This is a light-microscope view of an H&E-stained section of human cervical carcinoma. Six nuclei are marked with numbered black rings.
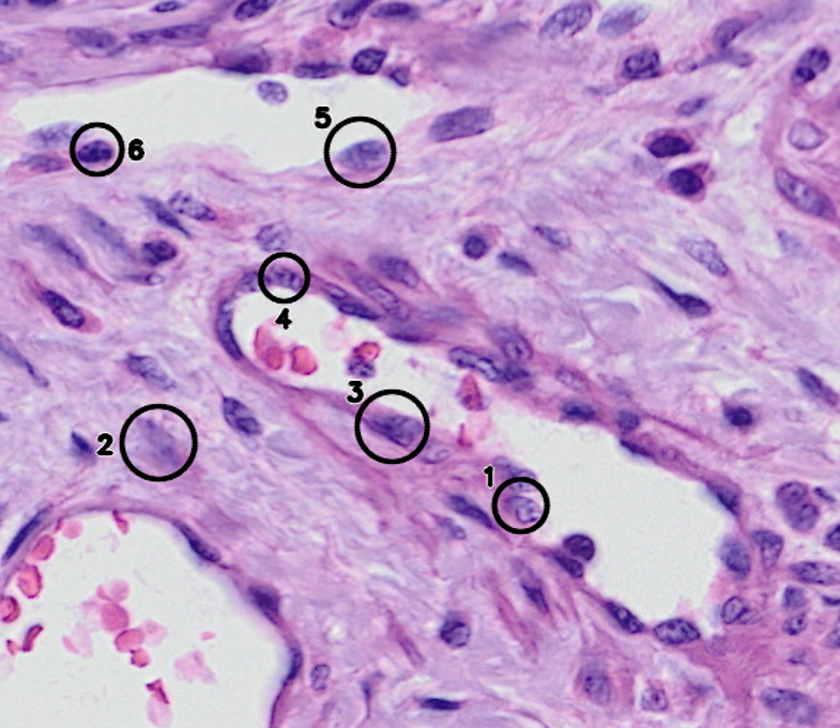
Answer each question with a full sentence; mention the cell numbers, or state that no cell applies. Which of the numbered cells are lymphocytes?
Cell 6 is the single numbered cell that is a lymphocyte.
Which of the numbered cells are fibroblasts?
Within the set of numbered cells, only number 2 is a fibroblast.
